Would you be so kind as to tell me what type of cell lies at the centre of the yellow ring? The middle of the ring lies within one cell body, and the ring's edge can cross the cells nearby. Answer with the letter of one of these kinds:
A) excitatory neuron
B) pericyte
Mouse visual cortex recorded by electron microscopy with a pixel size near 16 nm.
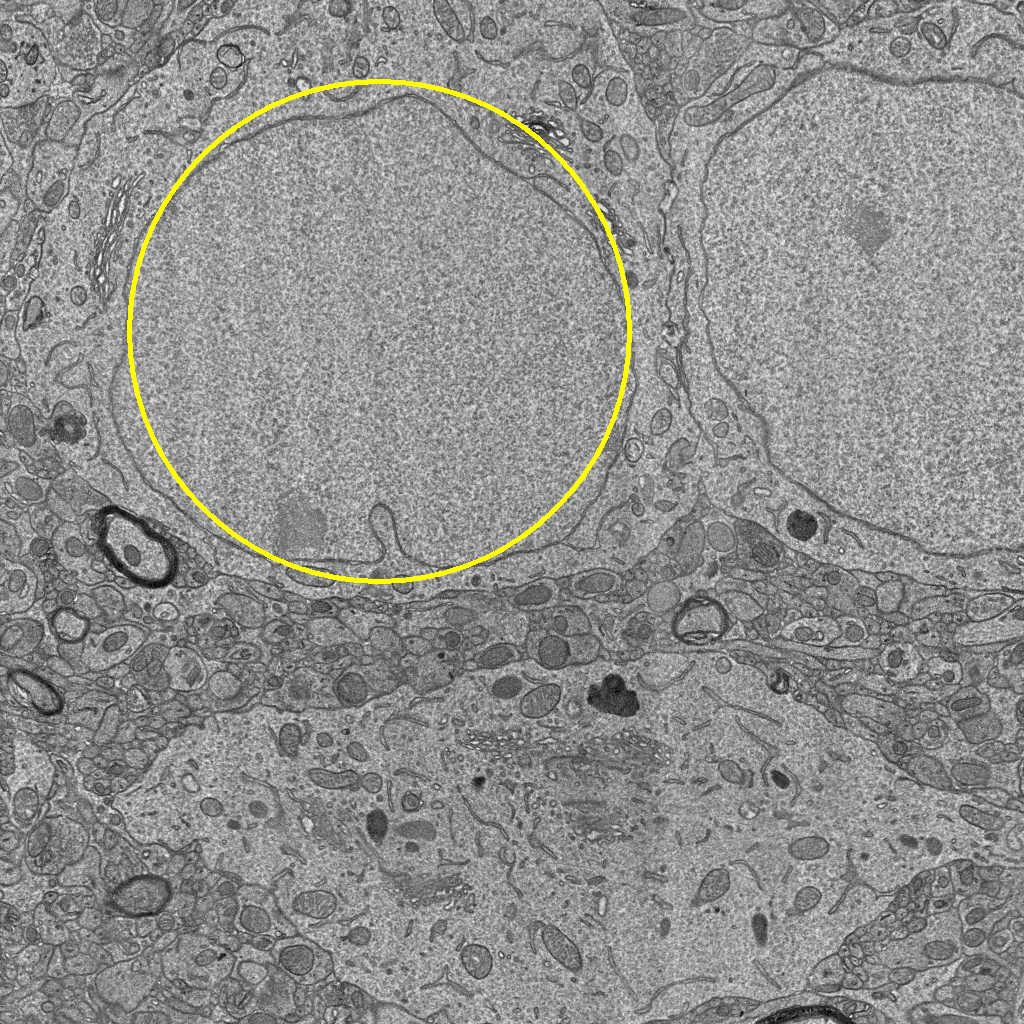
A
